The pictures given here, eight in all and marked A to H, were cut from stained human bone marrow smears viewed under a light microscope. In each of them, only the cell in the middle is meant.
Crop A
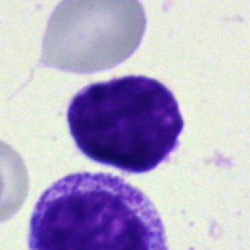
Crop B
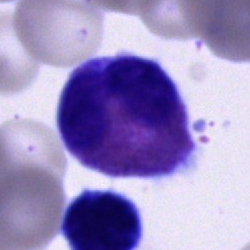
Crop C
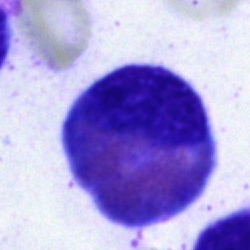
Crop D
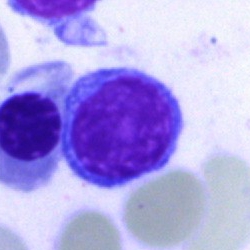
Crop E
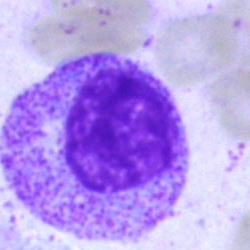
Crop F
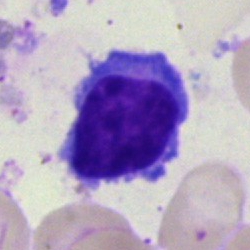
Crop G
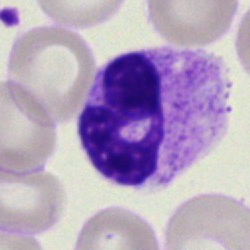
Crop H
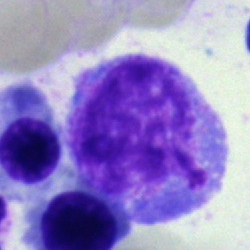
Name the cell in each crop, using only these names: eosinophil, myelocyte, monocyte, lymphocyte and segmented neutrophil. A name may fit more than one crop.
A: lymphocyte
B: eosinophil
C: eosinophil
D: lymphocyte
E: myelocyte
F: lymphocyte
G: segmented neutrophil
H: monocyte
